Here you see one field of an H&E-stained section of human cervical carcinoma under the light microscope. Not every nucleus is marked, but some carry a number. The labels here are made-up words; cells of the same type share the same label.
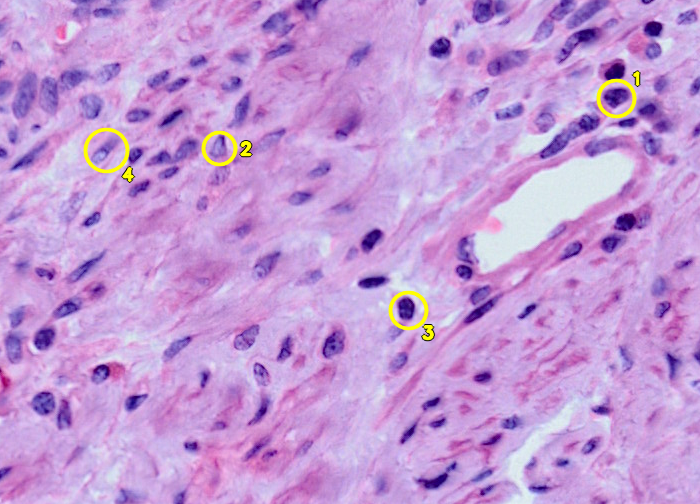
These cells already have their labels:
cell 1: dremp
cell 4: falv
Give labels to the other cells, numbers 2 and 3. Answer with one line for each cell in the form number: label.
2: falv
3: dremp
